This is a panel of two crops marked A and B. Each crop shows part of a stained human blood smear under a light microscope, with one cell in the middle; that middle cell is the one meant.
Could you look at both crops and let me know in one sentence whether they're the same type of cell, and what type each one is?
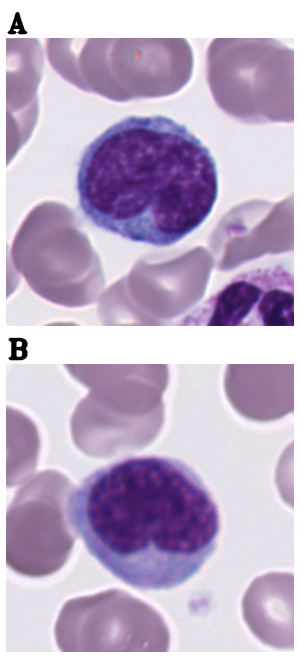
Yes, the two cells in the two crops are monocytes.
